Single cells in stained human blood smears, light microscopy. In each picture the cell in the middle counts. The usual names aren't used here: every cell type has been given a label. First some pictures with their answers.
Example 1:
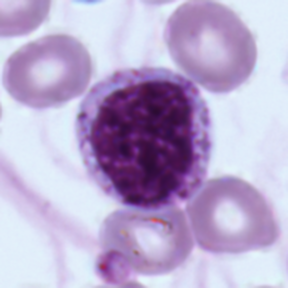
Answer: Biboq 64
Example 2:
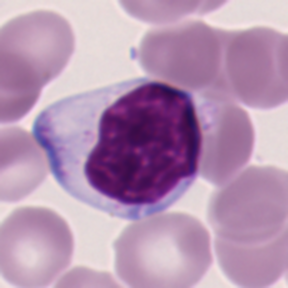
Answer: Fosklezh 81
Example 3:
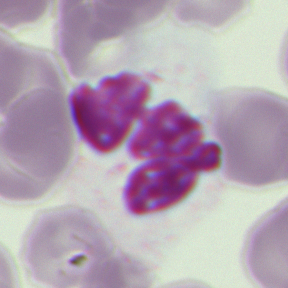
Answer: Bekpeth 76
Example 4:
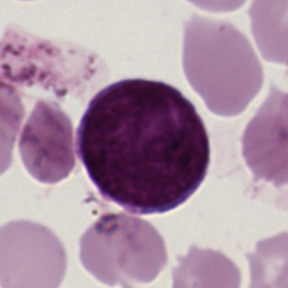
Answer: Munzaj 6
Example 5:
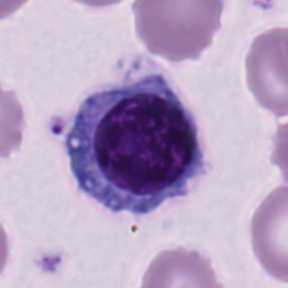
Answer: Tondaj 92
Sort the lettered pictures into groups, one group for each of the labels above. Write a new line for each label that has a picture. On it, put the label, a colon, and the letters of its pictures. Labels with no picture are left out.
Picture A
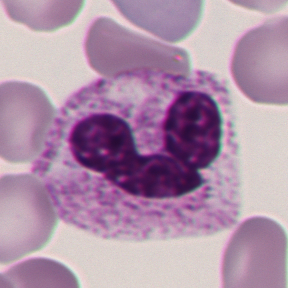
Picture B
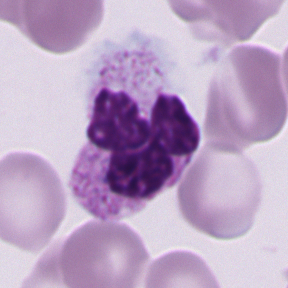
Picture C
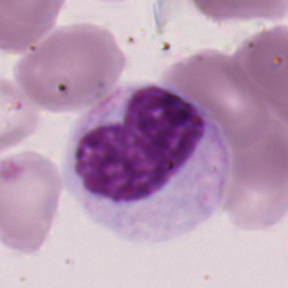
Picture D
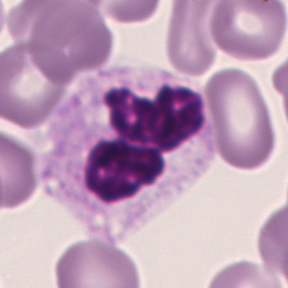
Biboq 64: C
Bekpeth 76: A, B, D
